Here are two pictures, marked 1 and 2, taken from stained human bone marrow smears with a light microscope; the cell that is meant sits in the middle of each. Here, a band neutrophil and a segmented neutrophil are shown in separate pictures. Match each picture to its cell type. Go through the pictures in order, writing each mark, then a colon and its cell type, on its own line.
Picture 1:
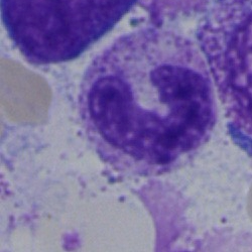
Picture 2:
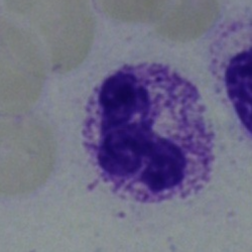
1: band neutrophil
2: segmented neutrophil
